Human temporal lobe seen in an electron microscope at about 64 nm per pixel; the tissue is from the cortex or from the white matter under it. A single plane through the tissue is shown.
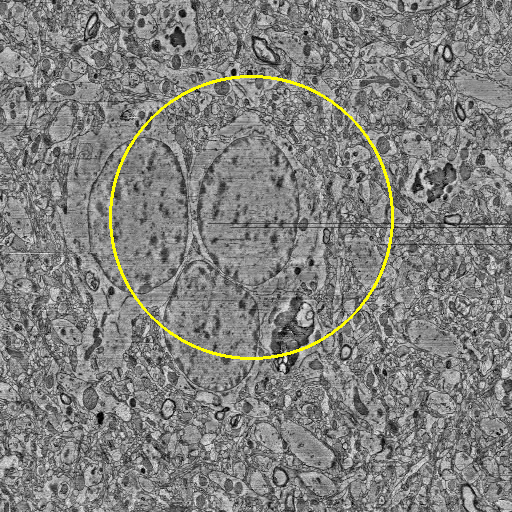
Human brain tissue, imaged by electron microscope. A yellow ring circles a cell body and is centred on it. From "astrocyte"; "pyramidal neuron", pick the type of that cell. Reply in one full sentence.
The cell body at the centre of the yellow ring belongs to an astrocyte.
